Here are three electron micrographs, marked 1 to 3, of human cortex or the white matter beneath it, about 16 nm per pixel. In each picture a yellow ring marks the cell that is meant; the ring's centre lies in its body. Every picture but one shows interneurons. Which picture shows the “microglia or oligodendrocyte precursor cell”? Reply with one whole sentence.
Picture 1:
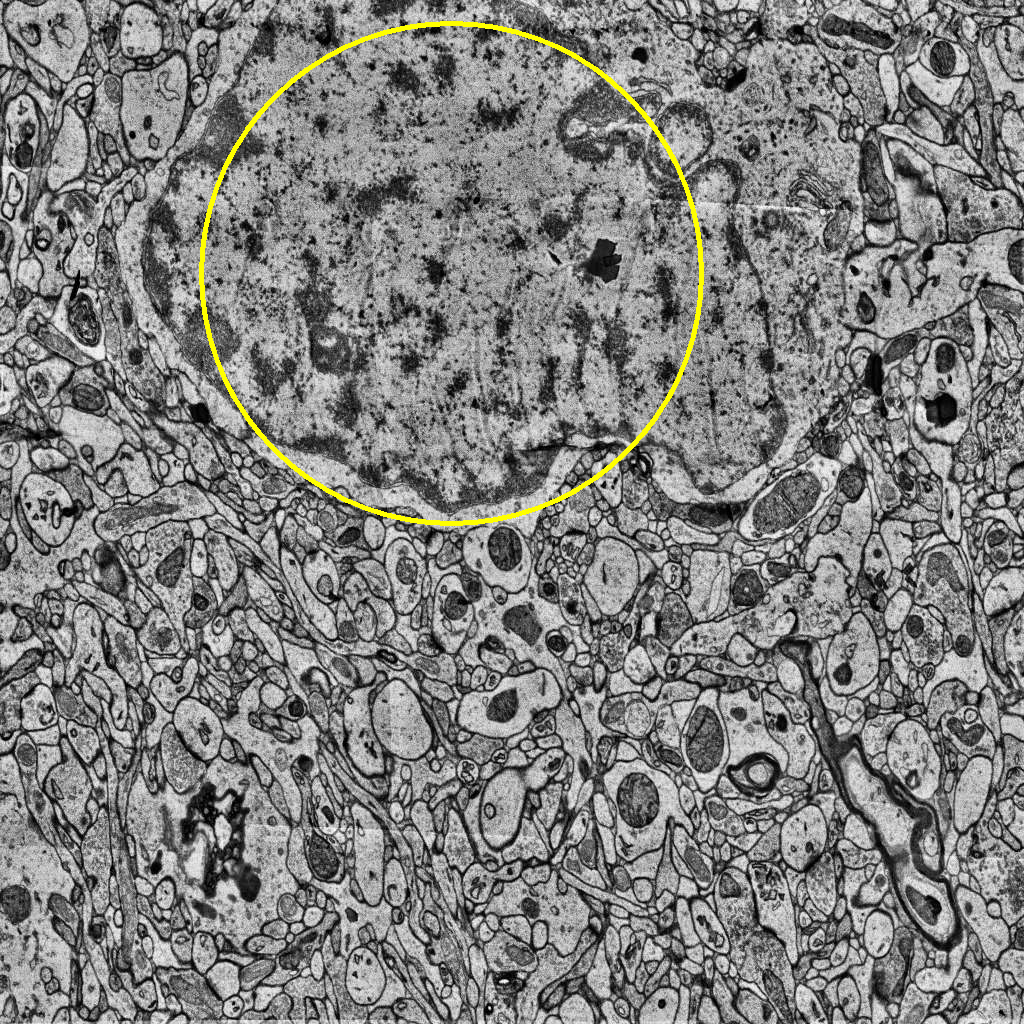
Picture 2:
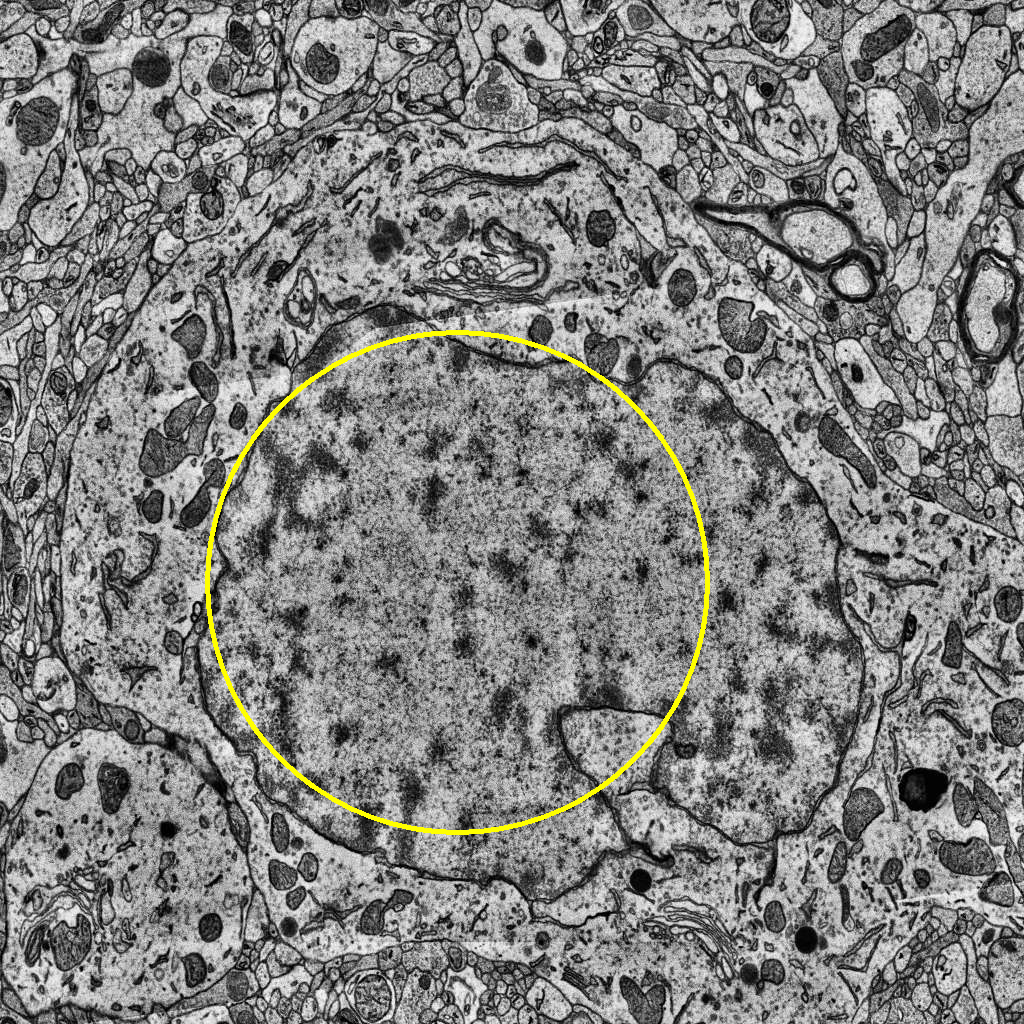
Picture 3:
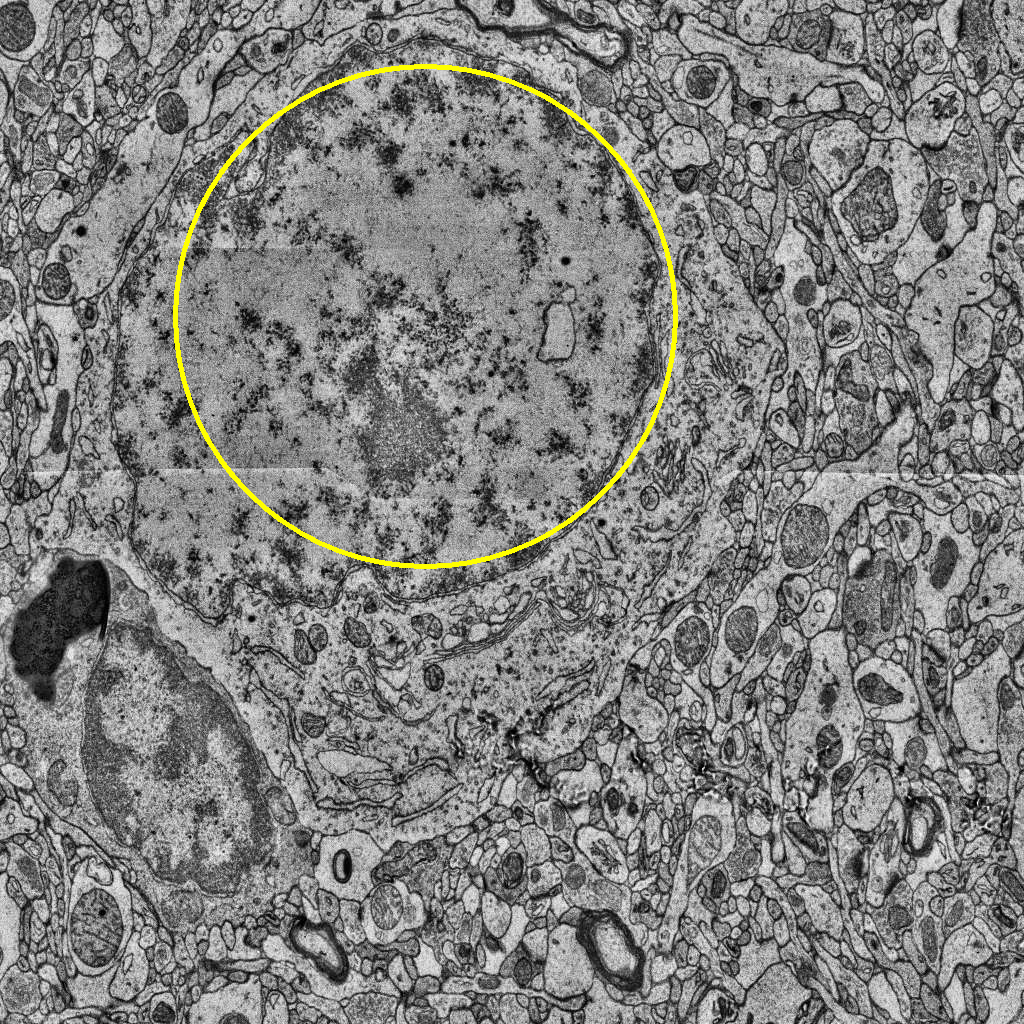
Picture 1 shows the “microglia or oligodendrocyte precursor cell”.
